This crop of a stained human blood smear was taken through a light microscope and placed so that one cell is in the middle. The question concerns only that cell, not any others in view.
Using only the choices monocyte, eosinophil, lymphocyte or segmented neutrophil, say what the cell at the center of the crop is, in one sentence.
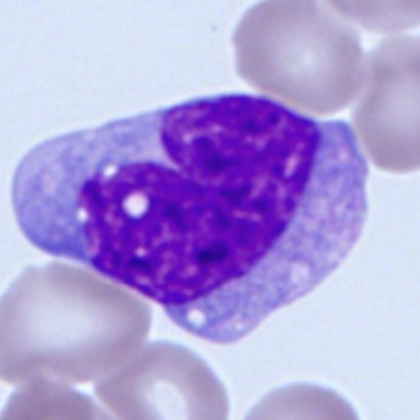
Centred in the crop is a monocyte.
